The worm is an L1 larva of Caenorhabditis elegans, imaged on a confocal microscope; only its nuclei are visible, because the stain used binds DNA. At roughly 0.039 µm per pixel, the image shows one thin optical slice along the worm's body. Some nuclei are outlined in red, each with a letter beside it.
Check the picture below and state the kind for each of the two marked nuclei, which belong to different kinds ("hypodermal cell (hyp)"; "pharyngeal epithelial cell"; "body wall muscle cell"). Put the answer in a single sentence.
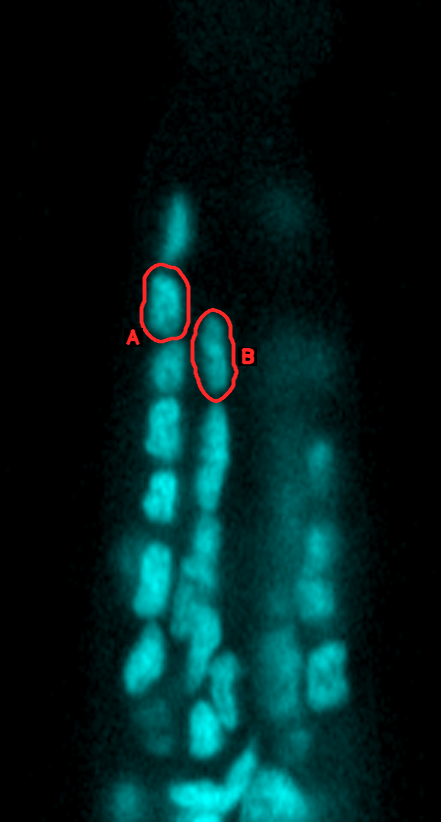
B belongs to a pharyngeal epithelial cell, and A to a hypodermal cell (hyp).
